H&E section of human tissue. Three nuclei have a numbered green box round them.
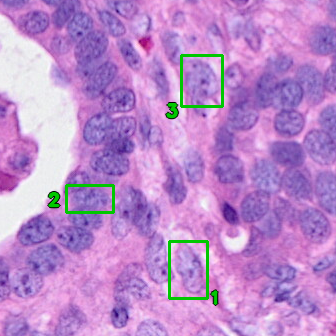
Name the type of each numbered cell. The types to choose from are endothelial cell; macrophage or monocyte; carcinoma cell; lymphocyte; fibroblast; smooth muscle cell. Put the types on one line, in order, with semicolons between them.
fibroblast; carcinoma cell; fibroblast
